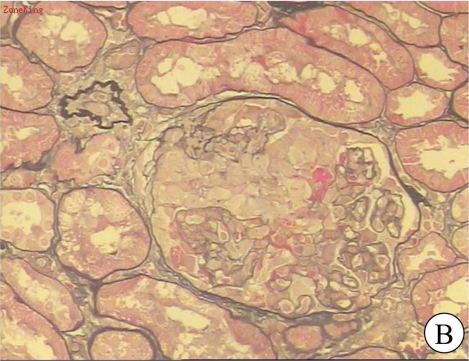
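A single enlarged glomerulus lies at the centre, surrounded by cross-sectioned renal tubules with pale, vacuolated cytoplasm and dark-outlined basement membranes. The glomerular tuft is crowded with cells and broken into lobules whose dark-outlined loops are compressed, leaving little open capillary space.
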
